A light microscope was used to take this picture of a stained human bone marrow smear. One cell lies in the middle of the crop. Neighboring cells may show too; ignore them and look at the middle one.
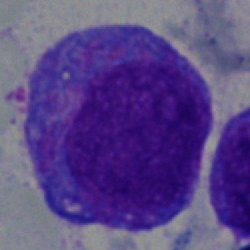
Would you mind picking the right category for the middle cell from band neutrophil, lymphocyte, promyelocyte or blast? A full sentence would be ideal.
On this slide crop, the central cell is a promyelocyte.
